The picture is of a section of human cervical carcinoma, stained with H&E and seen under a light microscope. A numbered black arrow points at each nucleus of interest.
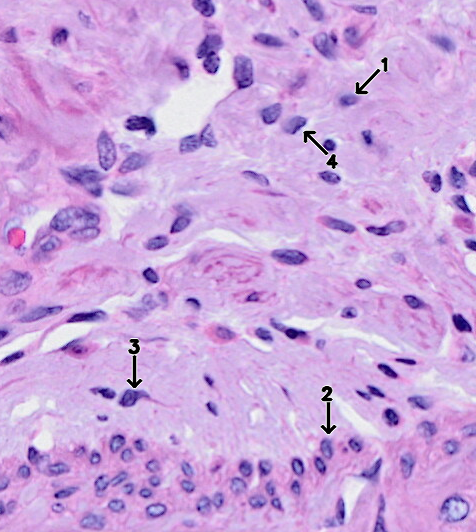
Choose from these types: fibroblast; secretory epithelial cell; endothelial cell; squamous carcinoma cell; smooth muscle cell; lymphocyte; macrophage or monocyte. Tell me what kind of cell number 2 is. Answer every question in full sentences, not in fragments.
The cell identified by number 2 is a smooth muscle cell.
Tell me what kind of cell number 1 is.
Heads up, the cell numbered 1 is a fibroblast.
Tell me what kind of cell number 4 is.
In the tissue shown, cell 4 is a fibroblast.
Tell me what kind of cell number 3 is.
The identity of cell 3 is that of a fibroblast.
